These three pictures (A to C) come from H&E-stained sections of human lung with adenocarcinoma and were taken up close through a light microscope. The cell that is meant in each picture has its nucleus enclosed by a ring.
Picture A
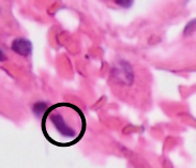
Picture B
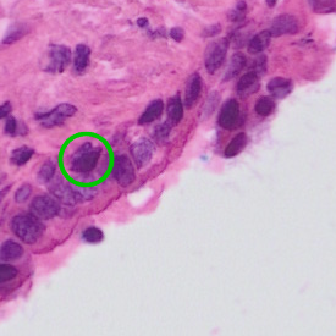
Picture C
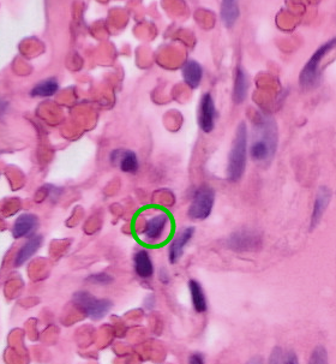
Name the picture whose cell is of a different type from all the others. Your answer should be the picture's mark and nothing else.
B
